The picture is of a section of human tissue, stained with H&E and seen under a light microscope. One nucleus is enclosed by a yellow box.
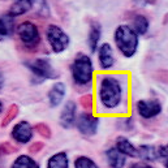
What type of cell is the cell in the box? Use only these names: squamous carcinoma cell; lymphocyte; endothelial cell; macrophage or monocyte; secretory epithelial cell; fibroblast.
lymphocyte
